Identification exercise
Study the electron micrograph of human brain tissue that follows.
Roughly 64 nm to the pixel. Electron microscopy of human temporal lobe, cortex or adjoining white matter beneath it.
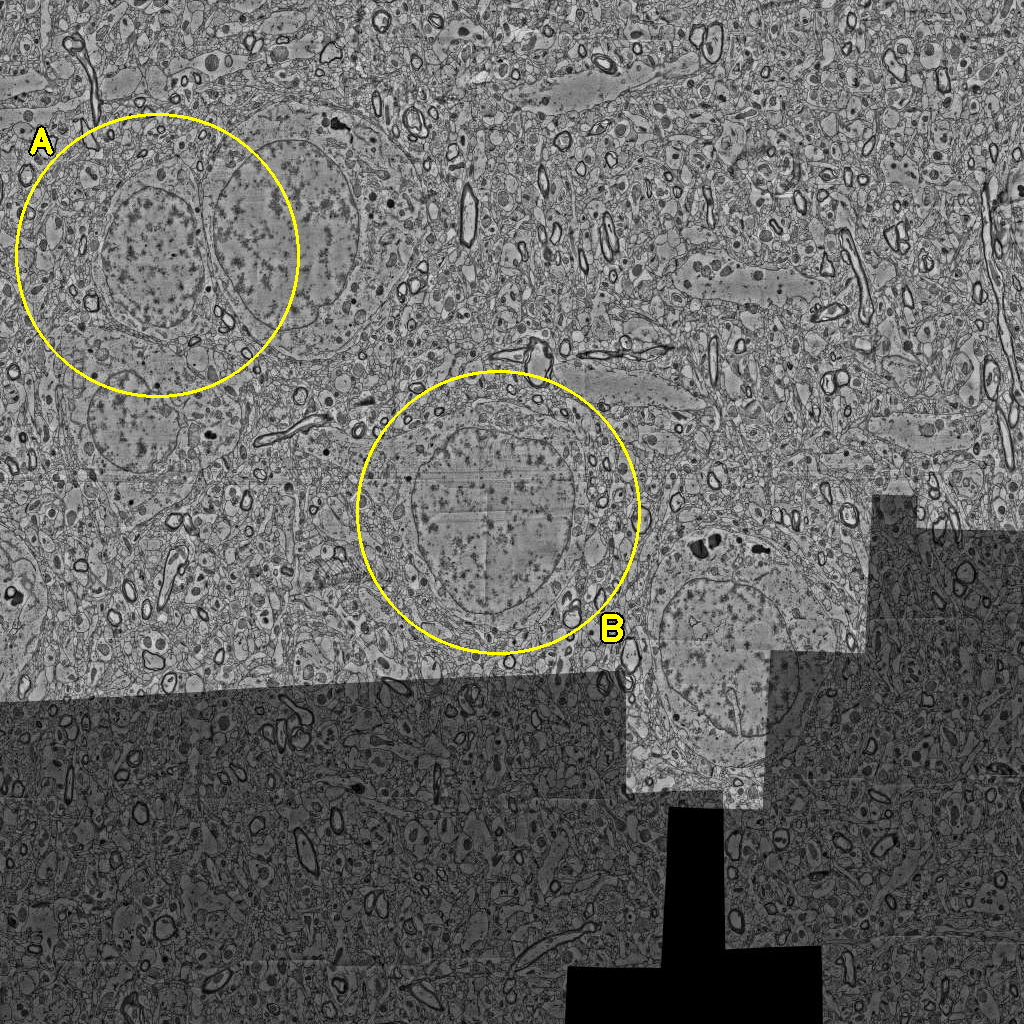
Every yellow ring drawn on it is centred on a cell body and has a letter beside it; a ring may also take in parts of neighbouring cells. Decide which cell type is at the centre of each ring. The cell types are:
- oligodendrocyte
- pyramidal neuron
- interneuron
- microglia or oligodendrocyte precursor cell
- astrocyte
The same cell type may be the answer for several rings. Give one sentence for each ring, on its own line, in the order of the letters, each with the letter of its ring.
Ring A encircles an interneuron.
Ring B encircles a pyramidal neuron.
